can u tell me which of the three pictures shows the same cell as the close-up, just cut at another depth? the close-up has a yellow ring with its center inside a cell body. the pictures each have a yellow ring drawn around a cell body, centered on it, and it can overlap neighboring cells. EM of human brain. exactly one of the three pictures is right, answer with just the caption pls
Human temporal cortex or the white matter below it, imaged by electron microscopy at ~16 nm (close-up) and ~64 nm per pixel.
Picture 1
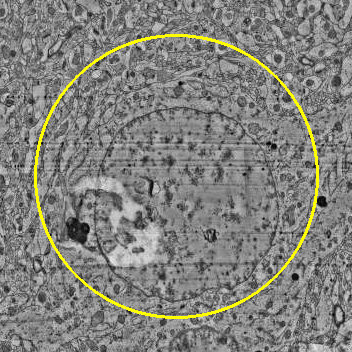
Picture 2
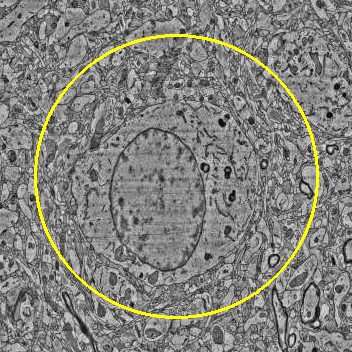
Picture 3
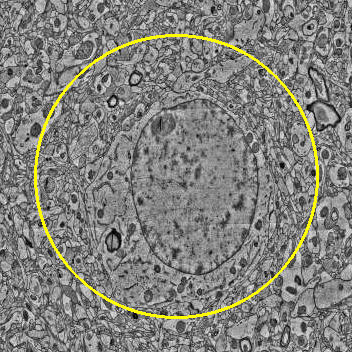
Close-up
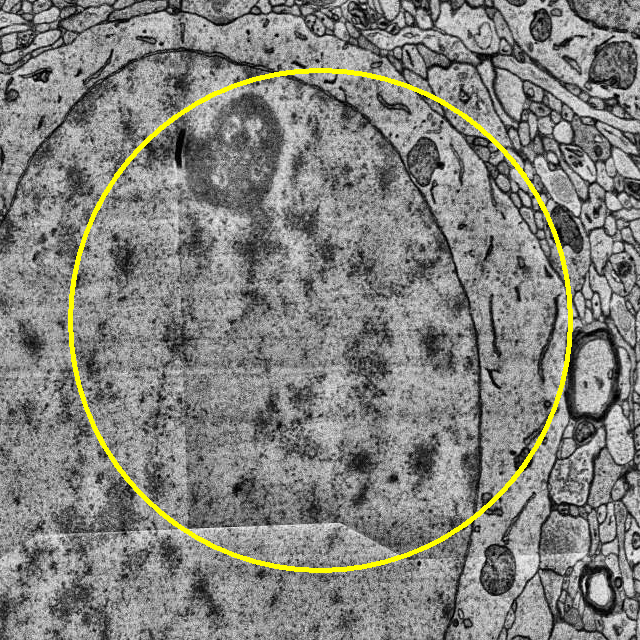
Picture 2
